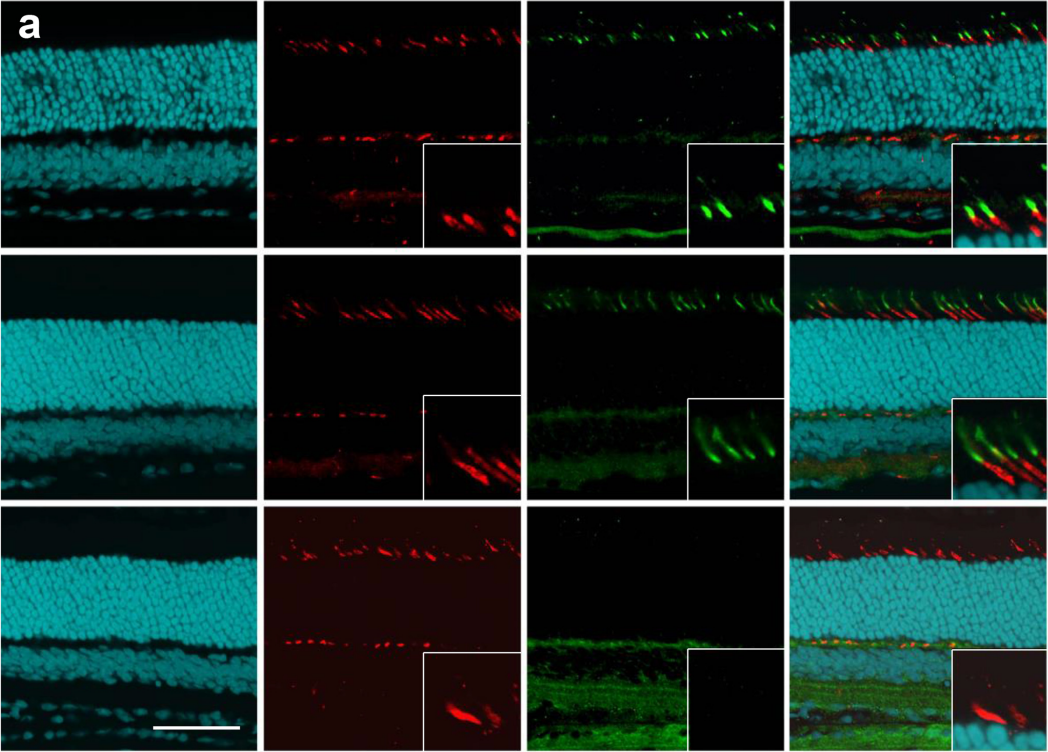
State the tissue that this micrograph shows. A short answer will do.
Retinas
